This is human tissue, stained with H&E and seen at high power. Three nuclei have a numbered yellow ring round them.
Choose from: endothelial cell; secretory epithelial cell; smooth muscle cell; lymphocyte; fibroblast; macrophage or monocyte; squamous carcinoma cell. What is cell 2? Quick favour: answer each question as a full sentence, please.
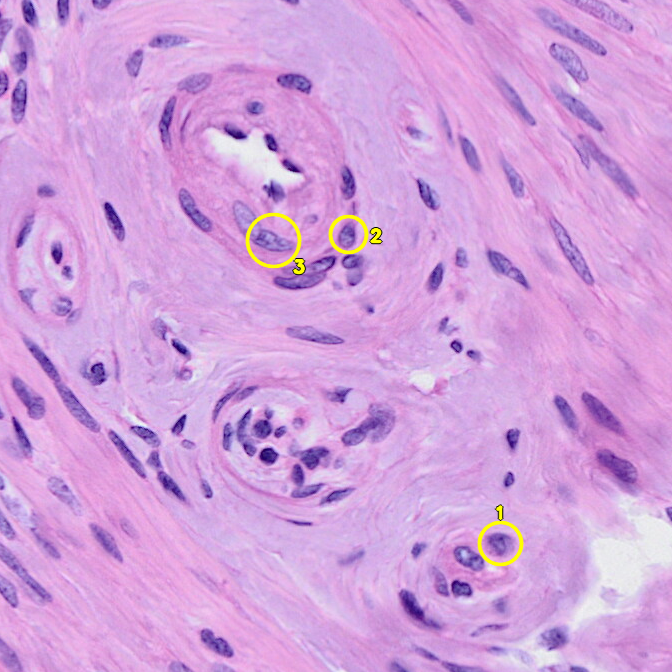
Identified by the number 2, the cell is a smooth muscle cell.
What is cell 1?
The cell referred to as 1 is an endothelial cell.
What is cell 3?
Recognised here as a smooth muscle cell is the cell numbered 3.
